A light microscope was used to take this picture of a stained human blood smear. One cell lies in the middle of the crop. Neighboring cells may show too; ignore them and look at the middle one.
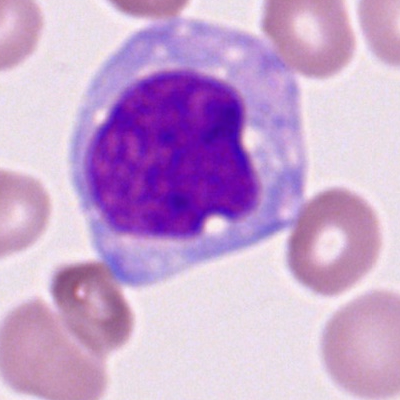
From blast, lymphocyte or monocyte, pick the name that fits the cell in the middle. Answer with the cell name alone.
monocyte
